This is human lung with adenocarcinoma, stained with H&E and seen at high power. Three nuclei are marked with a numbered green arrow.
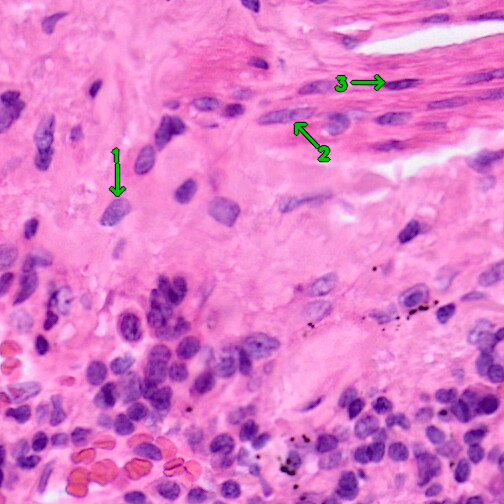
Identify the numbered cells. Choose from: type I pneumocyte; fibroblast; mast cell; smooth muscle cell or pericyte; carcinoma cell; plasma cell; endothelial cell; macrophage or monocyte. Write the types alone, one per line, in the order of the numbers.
fibroblast
smooth muscle cell or pericyte
smooth muscle cell or pericyte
